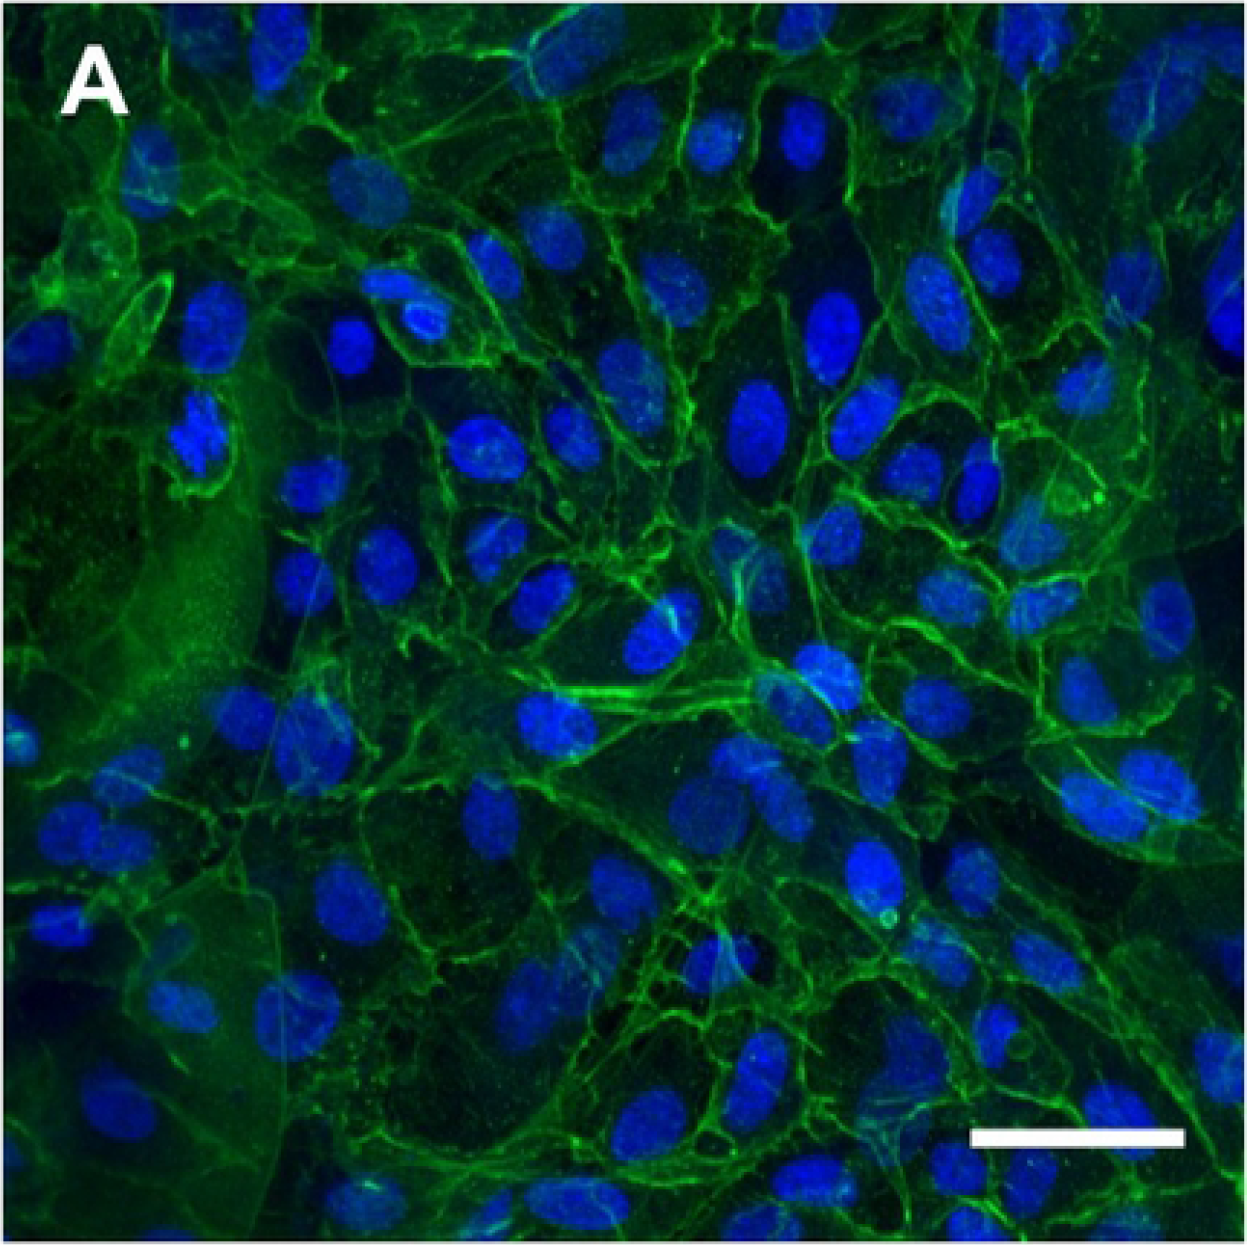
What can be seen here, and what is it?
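The green outlines follow the borders between cells, so the sheet reads as a mosaic of irregular polygons. Some borders are ruffled and thread-like, and faint green extends across the flat cytoplasm of a few larger cells. The cells cover the surface without obvious gaps.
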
